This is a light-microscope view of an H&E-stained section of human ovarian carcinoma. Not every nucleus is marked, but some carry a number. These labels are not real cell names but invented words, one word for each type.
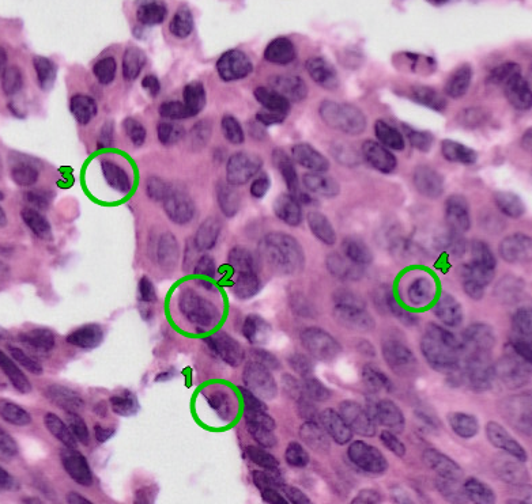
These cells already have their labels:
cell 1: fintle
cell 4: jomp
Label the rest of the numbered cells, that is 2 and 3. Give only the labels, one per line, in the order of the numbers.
fintle
fintle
